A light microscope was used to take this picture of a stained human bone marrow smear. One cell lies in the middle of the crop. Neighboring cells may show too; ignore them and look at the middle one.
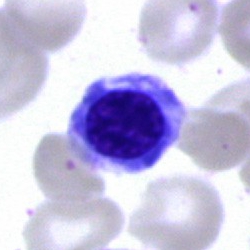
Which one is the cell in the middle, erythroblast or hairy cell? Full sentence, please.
Regarding the central cell, it is an erythroblast.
